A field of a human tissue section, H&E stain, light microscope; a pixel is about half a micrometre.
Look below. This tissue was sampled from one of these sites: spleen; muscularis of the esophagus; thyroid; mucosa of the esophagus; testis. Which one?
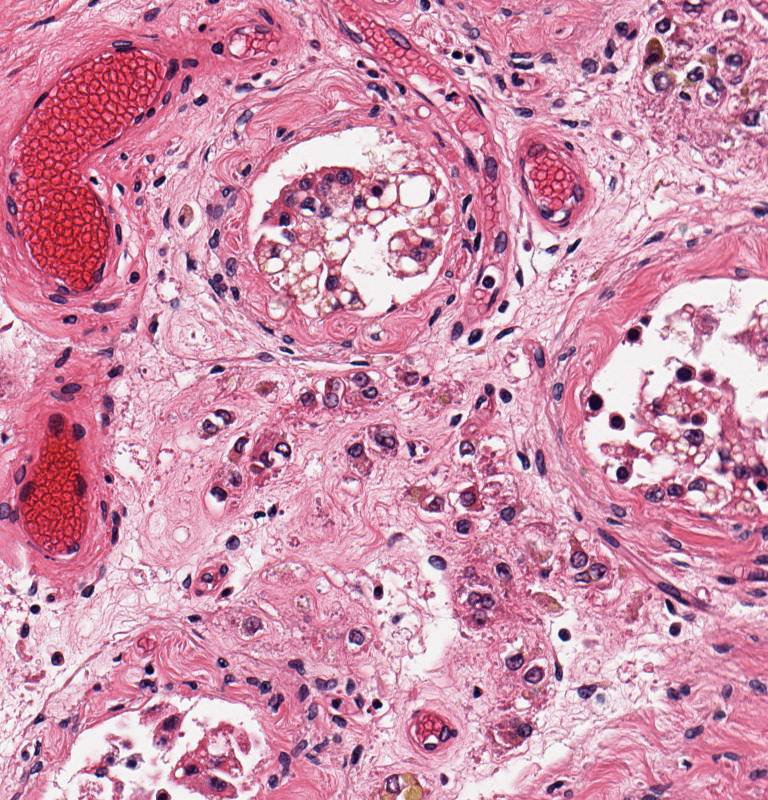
testis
